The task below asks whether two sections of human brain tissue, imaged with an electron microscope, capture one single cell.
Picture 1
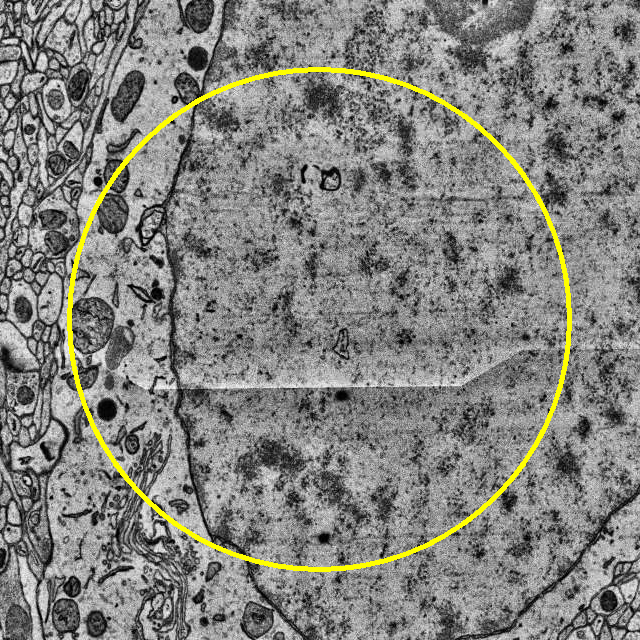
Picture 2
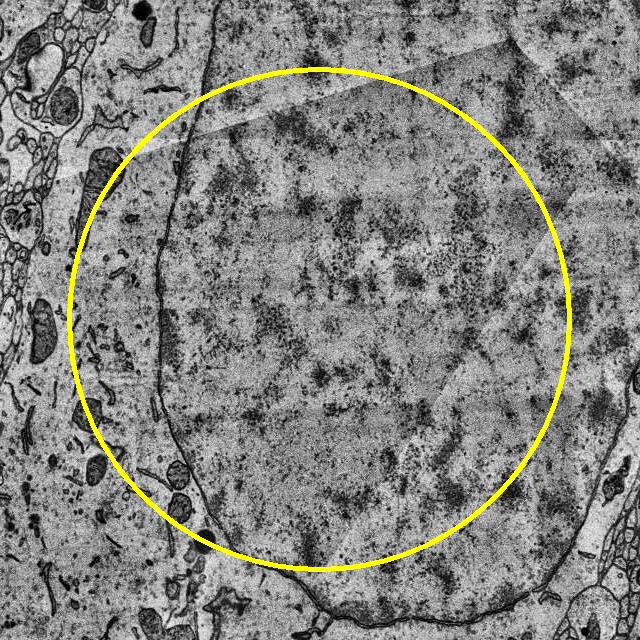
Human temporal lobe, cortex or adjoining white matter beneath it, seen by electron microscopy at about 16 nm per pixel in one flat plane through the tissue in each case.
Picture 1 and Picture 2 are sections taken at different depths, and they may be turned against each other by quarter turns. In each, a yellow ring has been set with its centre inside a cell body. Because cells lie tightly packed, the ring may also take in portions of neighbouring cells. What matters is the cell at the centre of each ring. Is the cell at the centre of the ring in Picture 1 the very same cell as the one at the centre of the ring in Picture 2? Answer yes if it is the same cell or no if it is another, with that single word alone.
yes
